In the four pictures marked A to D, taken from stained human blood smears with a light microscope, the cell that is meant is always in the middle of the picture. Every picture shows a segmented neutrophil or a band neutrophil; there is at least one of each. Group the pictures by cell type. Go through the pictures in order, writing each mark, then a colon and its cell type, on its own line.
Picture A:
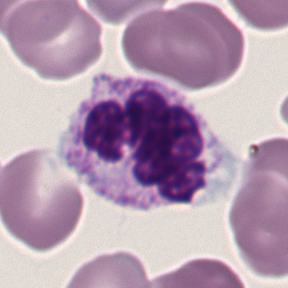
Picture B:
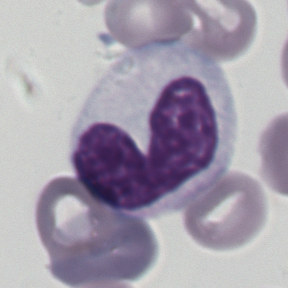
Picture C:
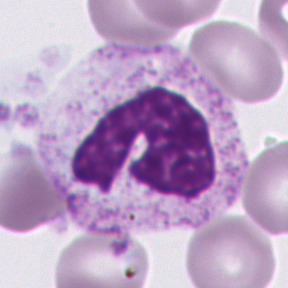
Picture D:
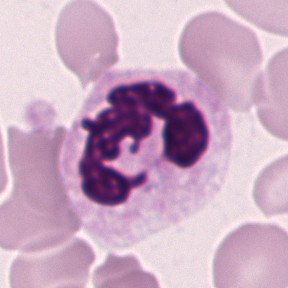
A: segmented neutrophil
B: band neutrophil
C: band neutrophil
D: segmented neutrophil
